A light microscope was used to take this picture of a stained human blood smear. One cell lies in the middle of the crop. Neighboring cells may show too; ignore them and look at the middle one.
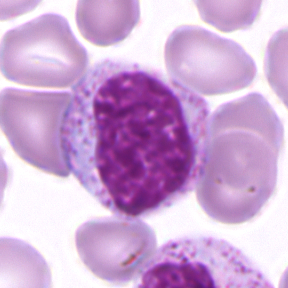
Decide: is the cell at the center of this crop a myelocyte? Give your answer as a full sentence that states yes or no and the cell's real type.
No, the cell of interest here is a metamyelocyte and not a myelocyte.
